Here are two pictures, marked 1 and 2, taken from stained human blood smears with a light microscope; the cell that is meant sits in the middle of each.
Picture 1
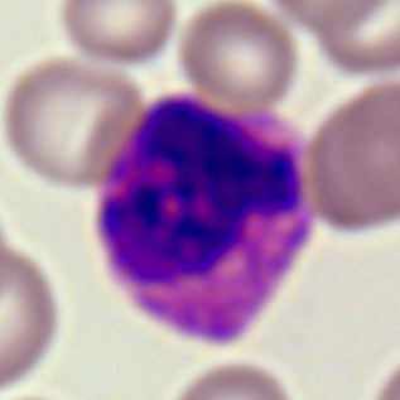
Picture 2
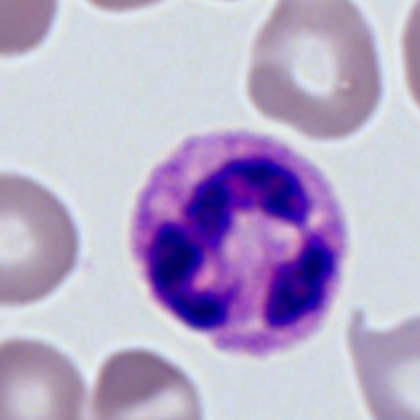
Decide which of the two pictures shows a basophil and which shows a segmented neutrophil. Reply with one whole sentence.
The cell in picture 1 is a basophil, and the one in picture 2 is a segmented neutrophil.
